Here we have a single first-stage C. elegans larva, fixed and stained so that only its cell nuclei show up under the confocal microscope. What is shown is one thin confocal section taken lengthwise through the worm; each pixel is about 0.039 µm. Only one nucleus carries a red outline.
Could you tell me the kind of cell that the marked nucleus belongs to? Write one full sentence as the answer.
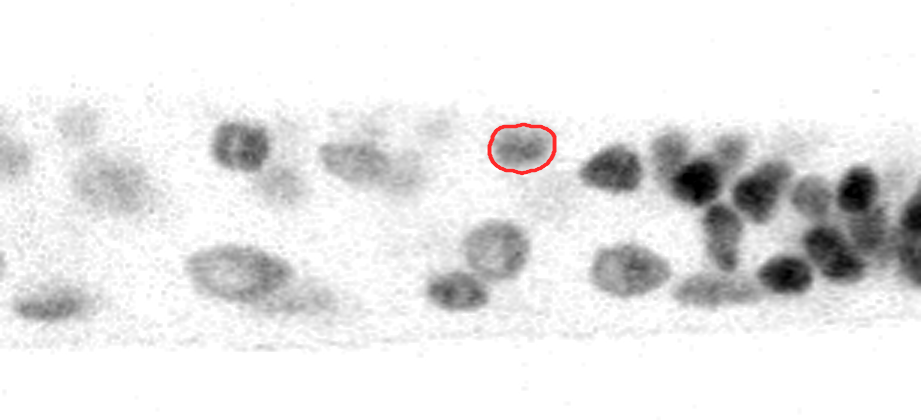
The nucleus comes from a body wall muscle cell.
